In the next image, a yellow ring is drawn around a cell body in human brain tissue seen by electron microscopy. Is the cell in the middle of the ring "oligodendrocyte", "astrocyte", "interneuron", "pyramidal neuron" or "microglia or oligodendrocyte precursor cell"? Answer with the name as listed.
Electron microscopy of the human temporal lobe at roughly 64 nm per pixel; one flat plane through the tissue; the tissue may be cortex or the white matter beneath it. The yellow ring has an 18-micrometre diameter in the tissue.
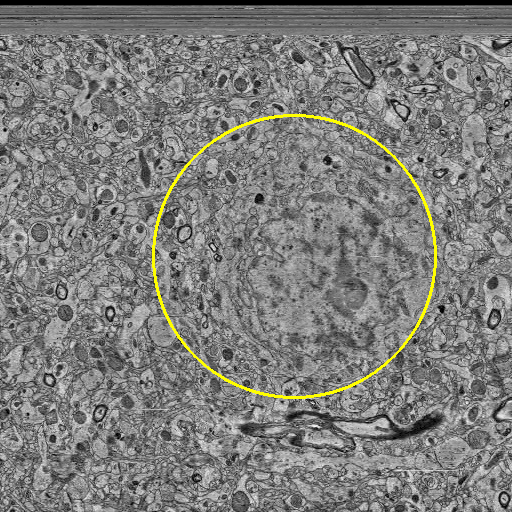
interneuron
